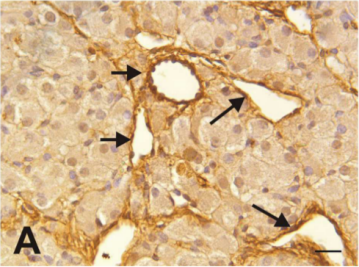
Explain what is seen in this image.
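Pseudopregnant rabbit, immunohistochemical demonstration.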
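This is luteal tissue with large polygonal luteal cells arranged around several open vessels. The luteal cells have abundant pale cytoplasm and round, bluish nuclei, and their outlines carry a light brown stain. Several empty vessel lumina of varying shape are scattered through the field. Their thin endothelial linings are stained strongly dark brown, as are the strands of tissue between the cell cords.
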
